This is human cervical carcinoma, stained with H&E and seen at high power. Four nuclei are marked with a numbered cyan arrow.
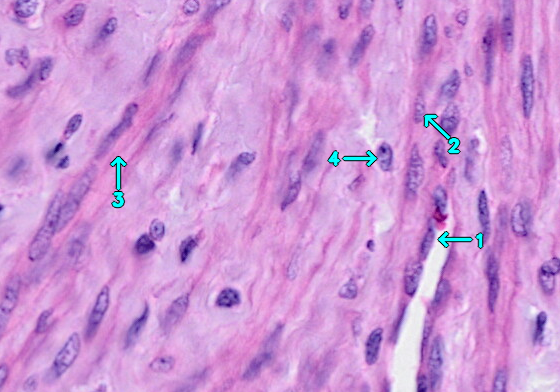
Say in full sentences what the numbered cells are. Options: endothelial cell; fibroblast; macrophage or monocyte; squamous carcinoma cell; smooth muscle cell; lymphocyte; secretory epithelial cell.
Cell 1 is an endothelial cell. Cells 2 and 3 are smooth muscle cells. Cell 4 is a lymphocyte.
